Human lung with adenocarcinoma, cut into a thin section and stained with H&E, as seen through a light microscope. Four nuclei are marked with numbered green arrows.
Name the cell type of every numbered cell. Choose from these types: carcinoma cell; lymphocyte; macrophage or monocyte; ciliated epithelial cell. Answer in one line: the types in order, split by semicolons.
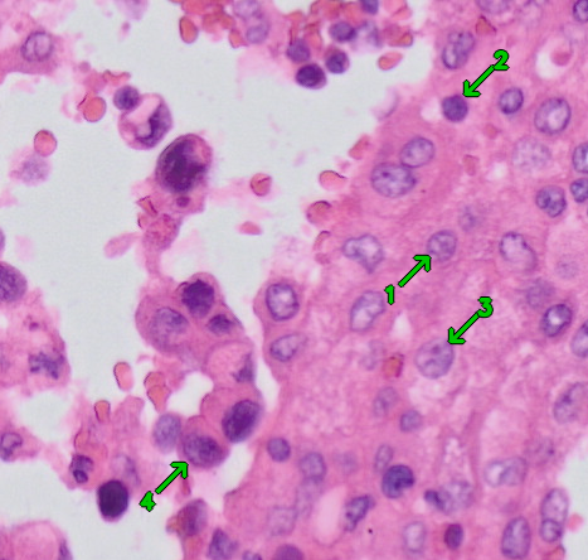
macrophage or monocyte; lymphocyte; macrophage or monocyte; carcinoma cell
